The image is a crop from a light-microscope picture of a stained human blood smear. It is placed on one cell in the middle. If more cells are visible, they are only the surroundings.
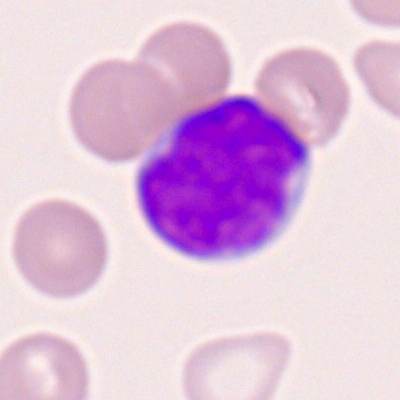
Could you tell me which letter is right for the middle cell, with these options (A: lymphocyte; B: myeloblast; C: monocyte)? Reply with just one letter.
B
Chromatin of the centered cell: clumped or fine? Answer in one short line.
Chromatin in the nucleus here is coarsely clumped.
